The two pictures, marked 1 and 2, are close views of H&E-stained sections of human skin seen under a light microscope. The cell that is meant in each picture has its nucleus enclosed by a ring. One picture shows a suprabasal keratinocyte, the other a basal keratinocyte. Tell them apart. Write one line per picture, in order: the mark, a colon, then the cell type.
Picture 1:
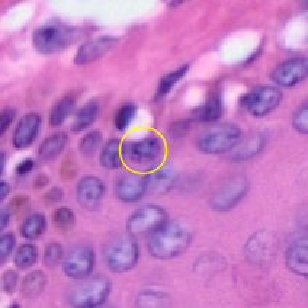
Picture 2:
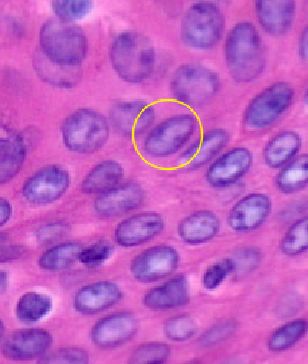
1: basal keratinocyte
2: suprabasal keratinocyte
